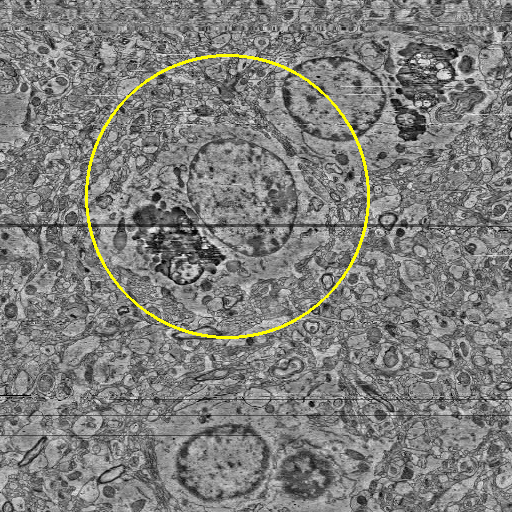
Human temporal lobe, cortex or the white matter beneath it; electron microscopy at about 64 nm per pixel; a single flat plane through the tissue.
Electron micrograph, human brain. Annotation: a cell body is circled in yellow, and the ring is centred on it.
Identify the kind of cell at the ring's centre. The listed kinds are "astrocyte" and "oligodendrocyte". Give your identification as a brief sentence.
The circled cell body is that of an astrocyte.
